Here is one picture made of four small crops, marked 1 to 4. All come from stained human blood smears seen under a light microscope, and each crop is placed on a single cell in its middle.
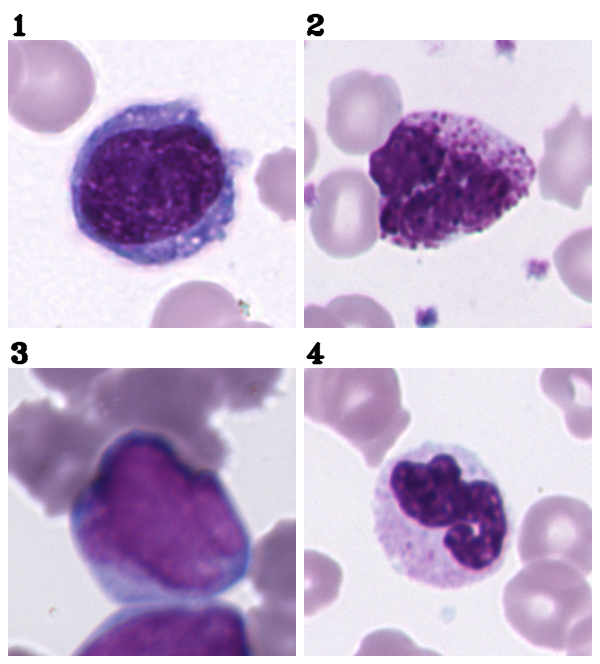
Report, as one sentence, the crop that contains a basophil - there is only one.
Crop 2 alone, of all the crops, shows a basophil.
